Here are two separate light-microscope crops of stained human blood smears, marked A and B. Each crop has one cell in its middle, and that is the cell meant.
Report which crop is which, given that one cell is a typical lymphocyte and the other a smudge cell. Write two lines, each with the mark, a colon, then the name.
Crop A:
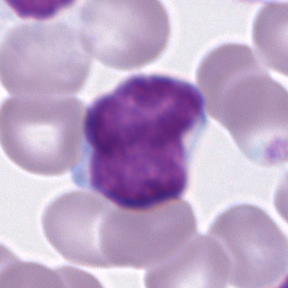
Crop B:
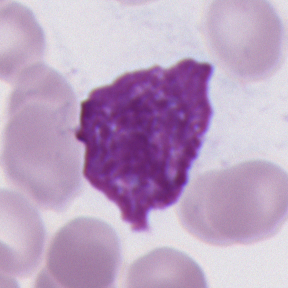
A: typical lymphocyte
B: smudge cell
